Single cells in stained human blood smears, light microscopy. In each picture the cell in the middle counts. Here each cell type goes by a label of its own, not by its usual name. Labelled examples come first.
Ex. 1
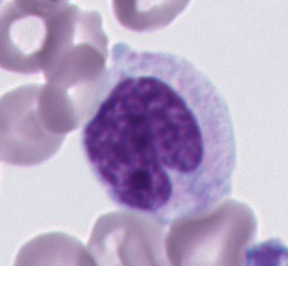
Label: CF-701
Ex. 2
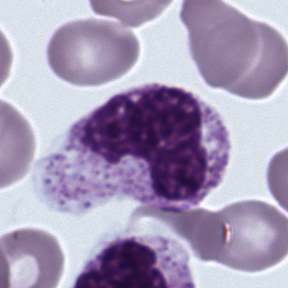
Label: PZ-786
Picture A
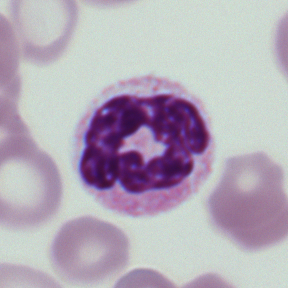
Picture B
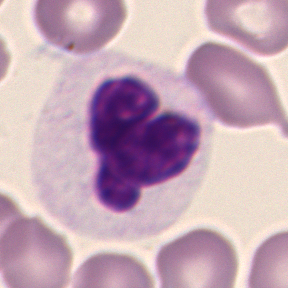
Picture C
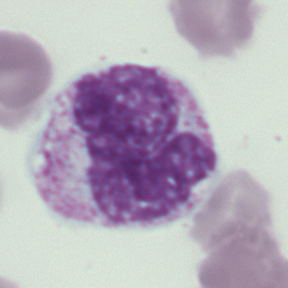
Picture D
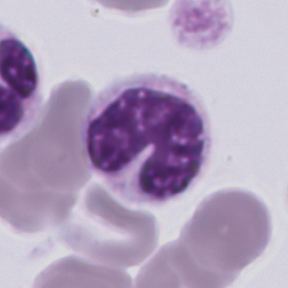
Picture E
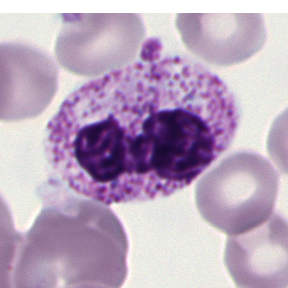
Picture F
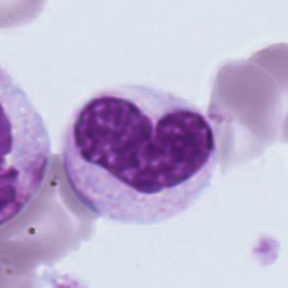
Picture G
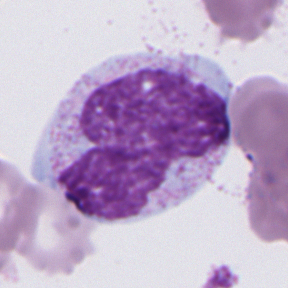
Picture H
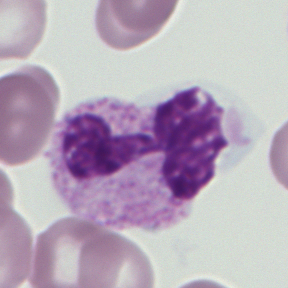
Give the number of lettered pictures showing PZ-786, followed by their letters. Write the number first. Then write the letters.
4, namely A, B, E, H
